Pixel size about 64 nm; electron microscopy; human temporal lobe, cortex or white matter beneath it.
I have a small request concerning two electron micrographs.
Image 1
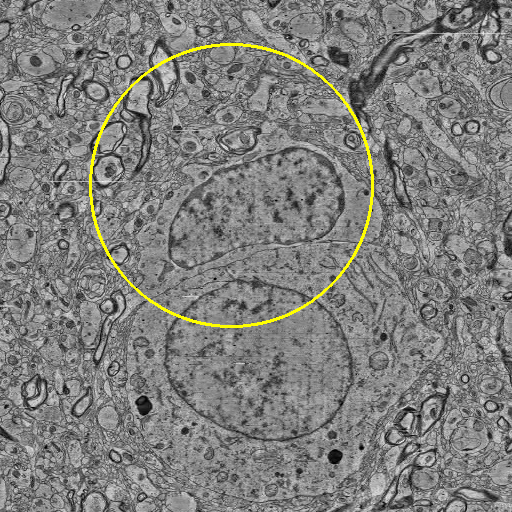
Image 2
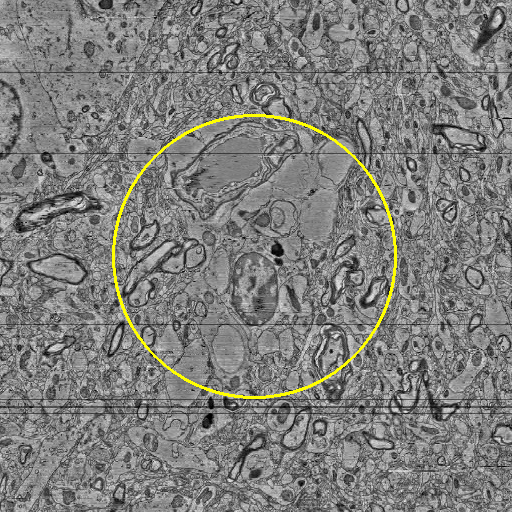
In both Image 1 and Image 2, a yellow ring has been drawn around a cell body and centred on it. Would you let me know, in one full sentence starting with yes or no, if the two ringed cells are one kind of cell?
Yes, the cells ringed in Image 1 and Image 2 are one kind of cell.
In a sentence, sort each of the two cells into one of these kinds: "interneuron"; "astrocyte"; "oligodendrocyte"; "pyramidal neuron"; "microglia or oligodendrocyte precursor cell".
The cell in the first picture is a microglial cell or oligodendrocyte precursor cell, and so is the one in the second.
